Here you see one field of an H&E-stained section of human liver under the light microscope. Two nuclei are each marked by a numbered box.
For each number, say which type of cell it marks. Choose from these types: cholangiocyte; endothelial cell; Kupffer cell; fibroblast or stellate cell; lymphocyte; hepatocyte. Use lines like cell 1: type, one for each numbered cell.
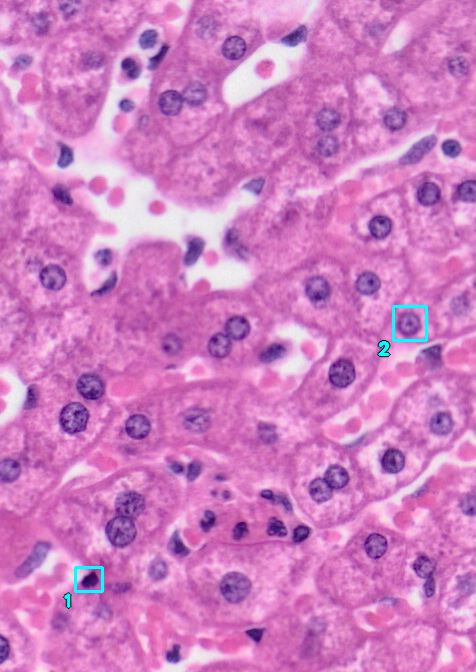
cell 1: fibroblast or stellate cell
cell 2: hepatocyte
